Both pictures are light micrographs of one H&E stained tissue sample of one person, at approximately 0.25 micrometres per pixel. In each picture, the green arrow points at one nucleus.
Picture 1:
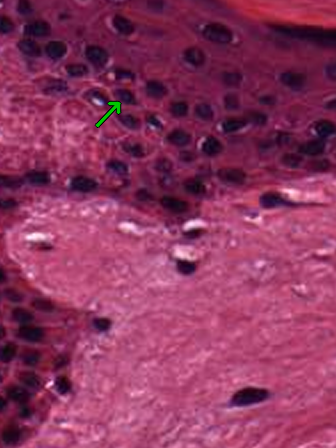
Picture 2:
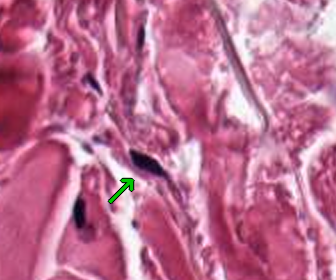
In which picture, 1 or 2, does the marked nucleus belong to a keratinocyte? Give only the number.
1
